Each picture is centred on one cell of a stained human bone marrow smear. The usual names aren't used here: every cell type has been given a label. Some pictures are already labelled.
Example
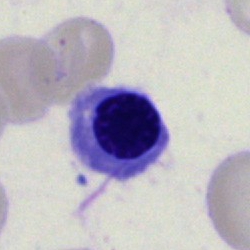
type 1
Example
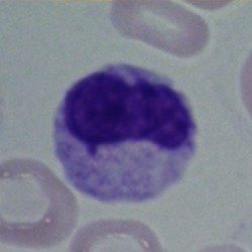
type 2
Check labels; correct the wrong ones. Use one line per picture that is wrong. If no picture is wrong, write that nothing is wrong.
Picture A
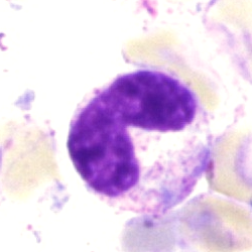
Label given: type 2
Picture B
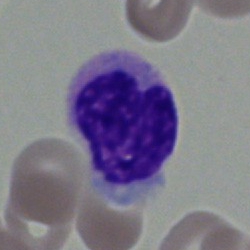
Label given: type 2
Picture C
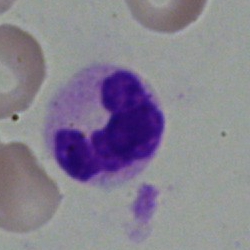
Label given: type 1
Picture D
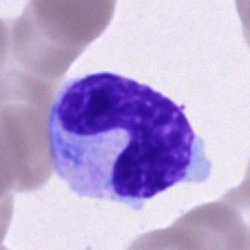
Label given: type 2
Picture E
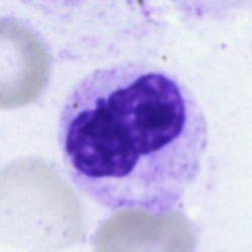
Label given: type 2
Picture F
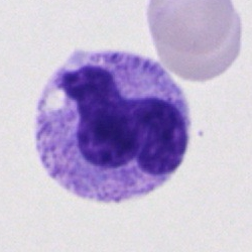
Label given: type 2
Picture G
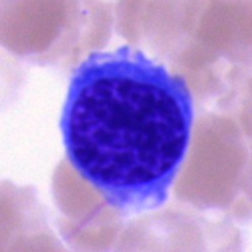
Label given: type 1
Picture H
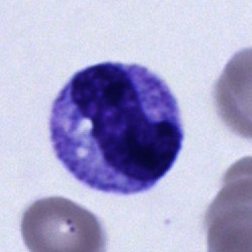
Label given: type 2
C should be type 2, not type 1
